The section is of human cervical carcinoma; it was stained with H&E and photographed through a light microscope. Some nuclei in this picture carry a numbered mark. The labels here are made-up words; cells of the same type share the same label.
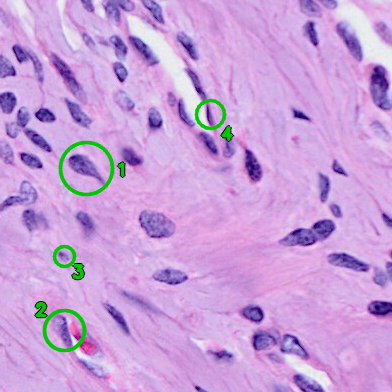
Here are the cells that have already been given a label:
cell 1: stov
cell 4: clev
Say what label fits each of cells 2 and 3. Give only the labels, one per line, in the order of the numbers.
clev
stov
